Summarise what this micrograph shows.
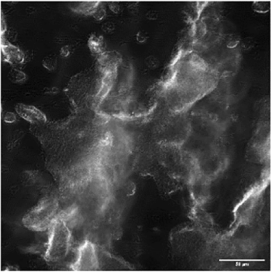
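Large, irregular bright clusters cover much of the field and join in the middle into a broad, continuous sheet. Their edges are brighter and outlined, while the interior shows a finer, mottled texture. Small, separate rounded bodies lie scattered in the dark gaps between the clusters.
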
